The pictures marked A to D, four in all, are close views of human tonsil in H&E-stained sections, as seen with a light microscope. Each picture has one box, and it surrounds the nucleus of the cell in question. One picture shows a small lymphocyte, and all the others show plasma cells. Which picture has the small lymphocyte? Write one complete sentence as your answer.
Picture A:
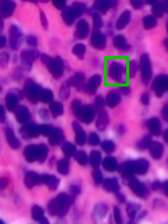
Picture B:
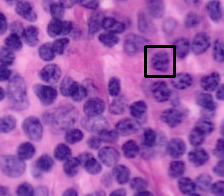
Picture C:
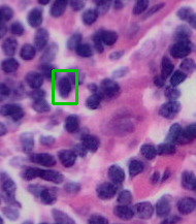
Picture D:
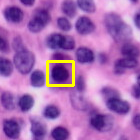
The picture with the small lymphocyte is C.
